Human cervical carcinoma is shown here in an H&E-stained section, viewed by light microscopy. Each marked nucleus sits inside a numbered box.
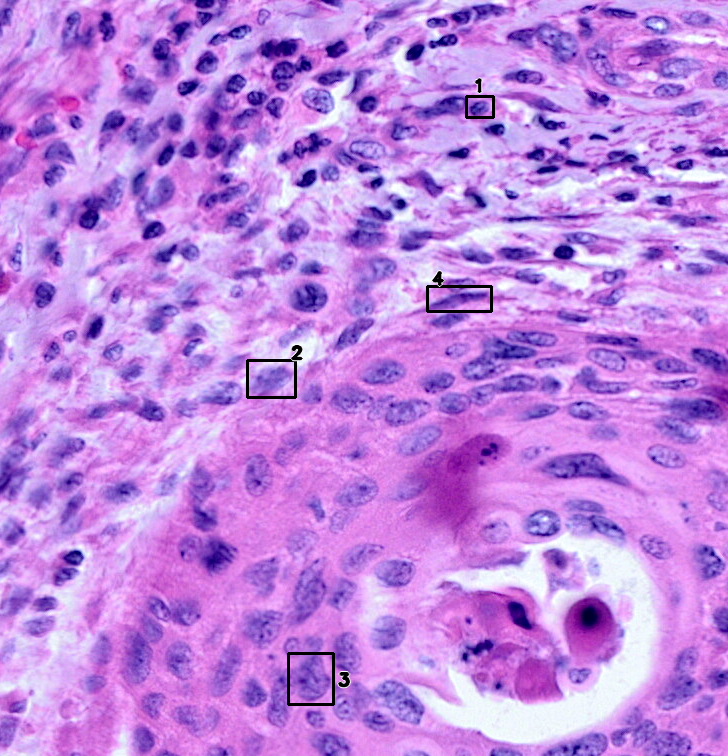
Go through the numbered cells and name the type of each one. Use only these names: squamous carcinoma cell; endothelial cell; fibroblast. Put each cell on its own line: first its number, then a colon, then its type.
1: endothelial cell
2: fibroblast
3: squamous carcinoma cell
4: fibroblast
